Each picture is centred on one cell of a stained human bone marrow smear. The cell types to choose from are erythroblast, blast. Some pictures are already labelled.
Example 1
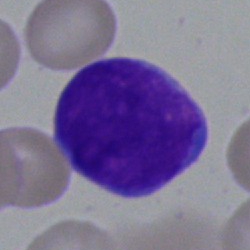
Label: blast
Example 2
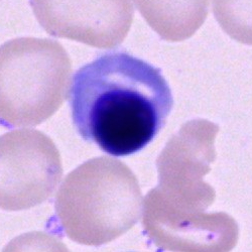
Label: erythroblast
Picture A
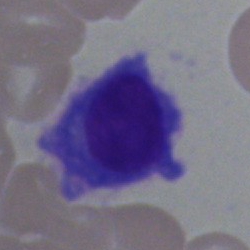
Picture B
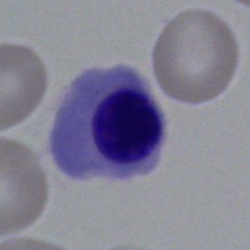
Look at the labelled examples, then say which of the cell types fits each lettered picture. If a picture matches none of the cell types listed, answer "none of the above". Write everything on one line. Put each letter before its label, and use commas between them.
A none of the above, B erythroblast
